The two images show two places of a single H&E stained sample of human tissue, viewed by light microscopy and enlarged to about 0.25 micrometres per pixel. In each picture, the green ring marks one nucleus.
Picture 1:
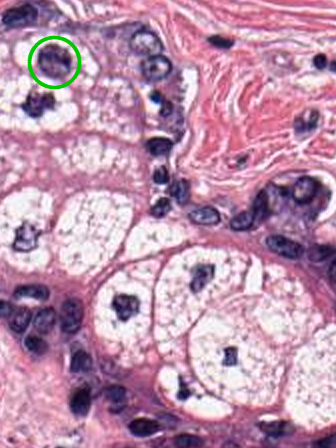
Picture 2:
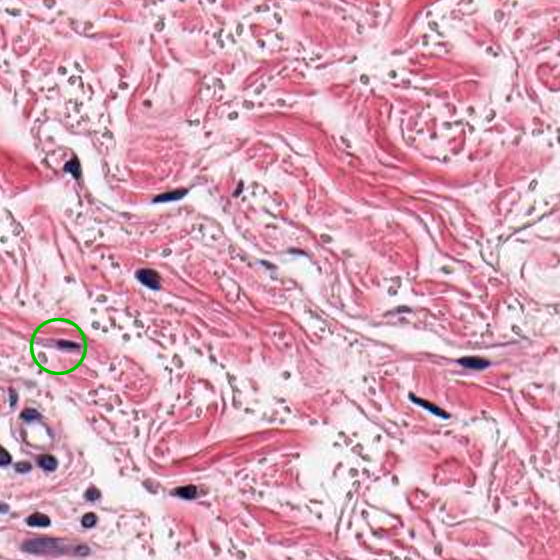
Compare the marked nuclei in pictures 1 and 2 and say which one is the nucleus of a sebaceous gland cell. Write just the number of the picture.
1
